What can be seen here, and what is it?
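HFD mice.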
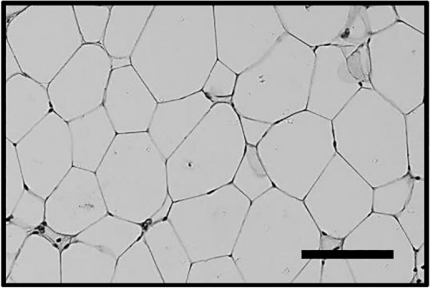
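This is white adipose tissue in which the adipocytes are strikingly large. Each cell is a wide, polygonal, optically empty space left by its single fat droplet, bordered by a thread-thin rim of cytoplasm. Neighbouring cells press against one another so their outlines become angular. Only a few small, dark, flattened nuclei are seen, squeezed at the edges of the cells, and there is scarcely any tissue between them.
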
